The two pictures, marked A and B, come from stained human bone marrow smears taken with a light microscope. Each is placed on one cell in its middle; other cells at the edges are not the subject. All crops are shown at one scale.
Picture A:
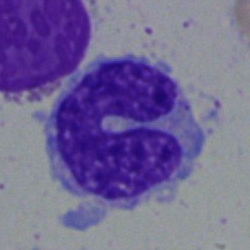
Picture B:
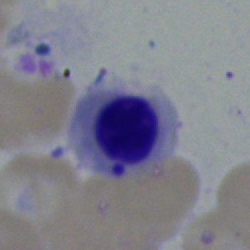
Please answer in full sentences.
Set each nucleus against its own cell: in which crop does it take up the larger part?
In picture A the nucleus takes up the larger part of its cell.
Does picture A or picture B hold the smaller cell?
Picture B holds the smaller cell, since the cell in picture A covers about 2.5 times as much area.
